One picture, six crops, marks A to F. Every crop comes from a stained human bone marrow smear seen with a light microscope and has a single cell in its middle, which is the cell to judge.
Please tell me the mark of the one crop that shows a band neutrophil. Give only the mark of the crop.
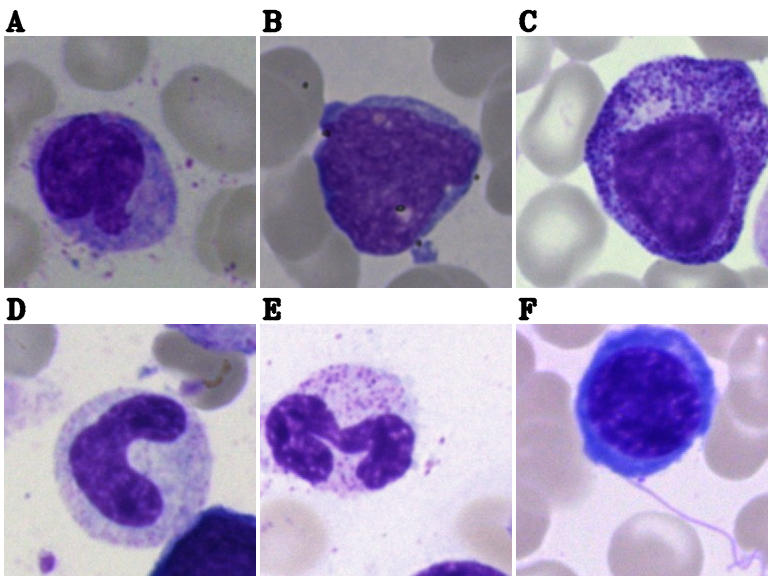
D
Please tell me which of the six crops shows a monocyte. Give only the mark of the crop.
A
